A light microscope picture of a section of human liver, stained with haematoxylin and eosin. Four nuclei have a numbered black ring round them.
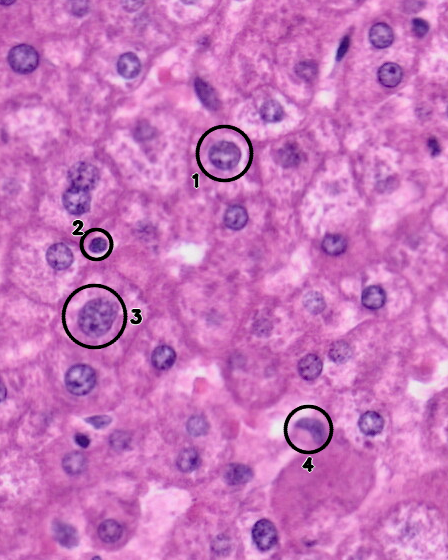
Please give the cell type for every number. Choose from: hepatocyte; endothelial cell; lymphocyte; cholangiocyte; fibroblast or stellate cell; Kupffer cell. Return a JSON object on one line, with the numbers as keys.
{"1": "hepatocyte", "2": "lymphocyte", "3": "hepatocyte", "4": "Kupffer cell"}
